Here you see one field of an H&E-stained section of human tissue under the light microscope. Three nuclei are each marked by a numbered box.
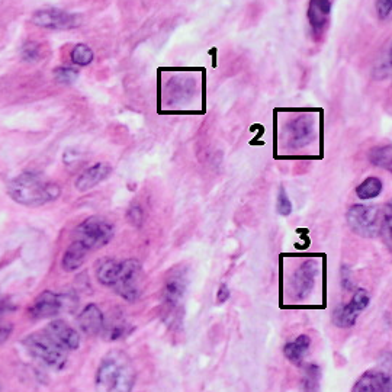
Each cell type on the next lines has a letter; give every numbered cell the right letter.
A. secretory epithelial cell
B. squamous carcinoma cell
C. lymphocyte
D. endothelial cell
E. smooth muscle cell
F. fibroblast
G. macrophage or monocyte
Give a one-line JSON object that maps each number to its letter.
{"1": "F", "2": "G", "3": "G"}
